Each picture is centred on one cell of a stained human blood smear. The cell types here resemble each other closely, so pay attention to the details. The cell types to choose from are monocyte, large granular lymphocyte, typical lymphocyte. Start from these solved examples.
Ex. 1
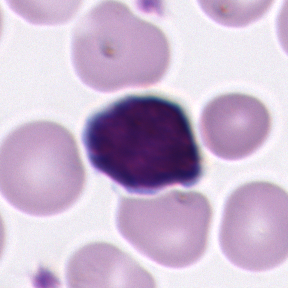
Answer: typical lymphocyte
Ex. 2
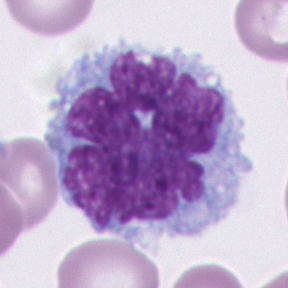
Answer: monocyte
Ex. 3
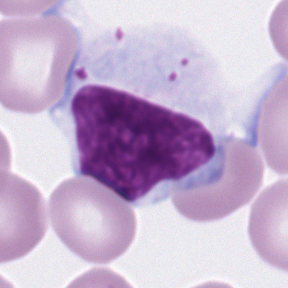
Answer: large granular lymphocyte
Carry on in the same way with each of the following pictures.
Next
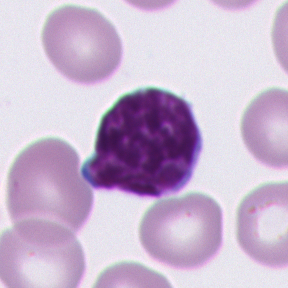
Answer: typical lymphocyte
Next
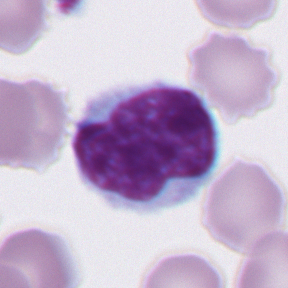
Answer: typical lymphocyte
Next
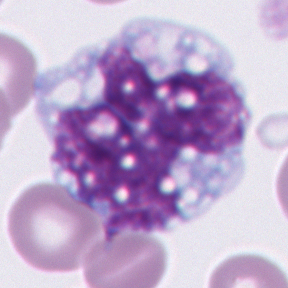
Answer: monocyte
